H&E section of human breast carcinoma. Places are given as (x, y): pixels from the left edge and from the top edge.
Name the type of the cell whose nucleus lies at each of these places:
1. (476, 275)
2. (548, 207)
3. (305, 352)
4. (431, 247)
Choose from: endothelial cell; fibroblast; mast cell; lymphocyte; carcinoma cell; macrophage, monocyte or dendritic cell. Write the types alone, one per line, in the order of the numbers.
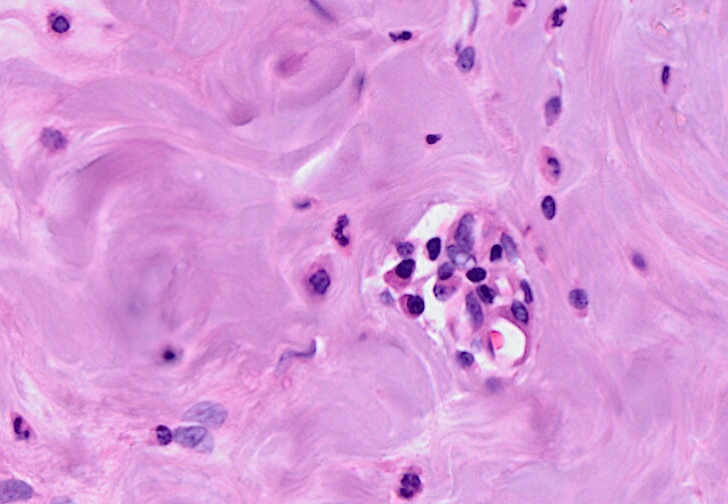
lymphocyte
lymphocyte
fibroblast
lymphocyte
